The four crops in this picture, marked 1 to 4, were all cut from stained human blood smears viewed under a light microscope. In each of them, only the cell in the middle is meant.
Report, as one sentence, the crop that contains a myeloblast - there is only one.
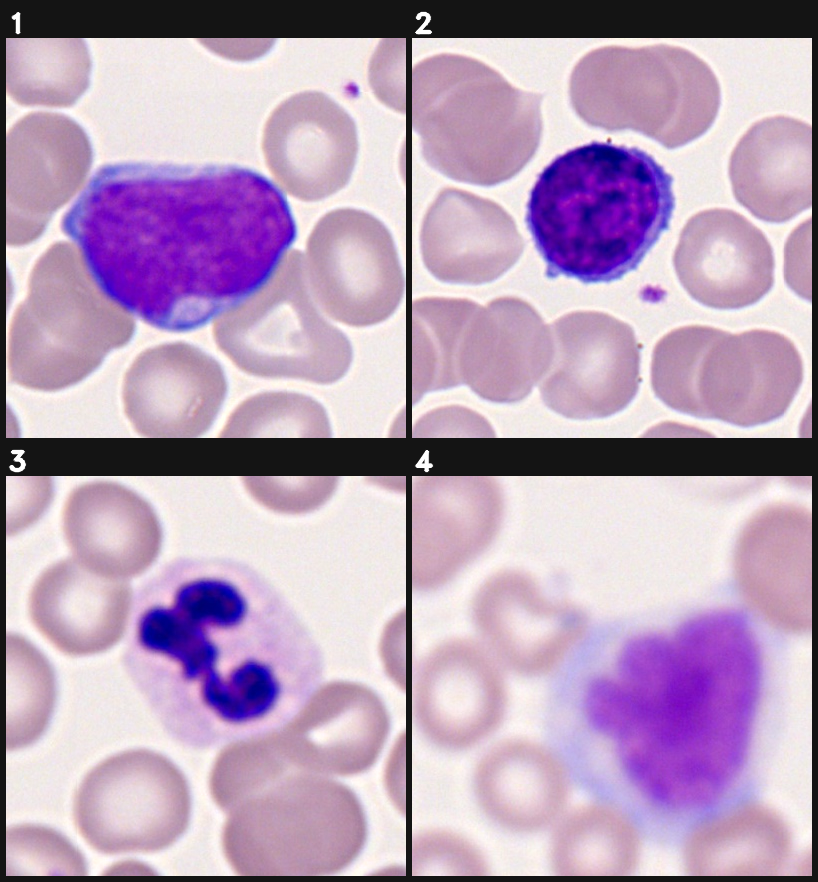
The one crop that shows a myeloblast is crop 1.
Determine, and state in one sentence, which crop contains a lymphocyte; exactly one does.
The one crop that shows a lymphocyte is crop 2.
